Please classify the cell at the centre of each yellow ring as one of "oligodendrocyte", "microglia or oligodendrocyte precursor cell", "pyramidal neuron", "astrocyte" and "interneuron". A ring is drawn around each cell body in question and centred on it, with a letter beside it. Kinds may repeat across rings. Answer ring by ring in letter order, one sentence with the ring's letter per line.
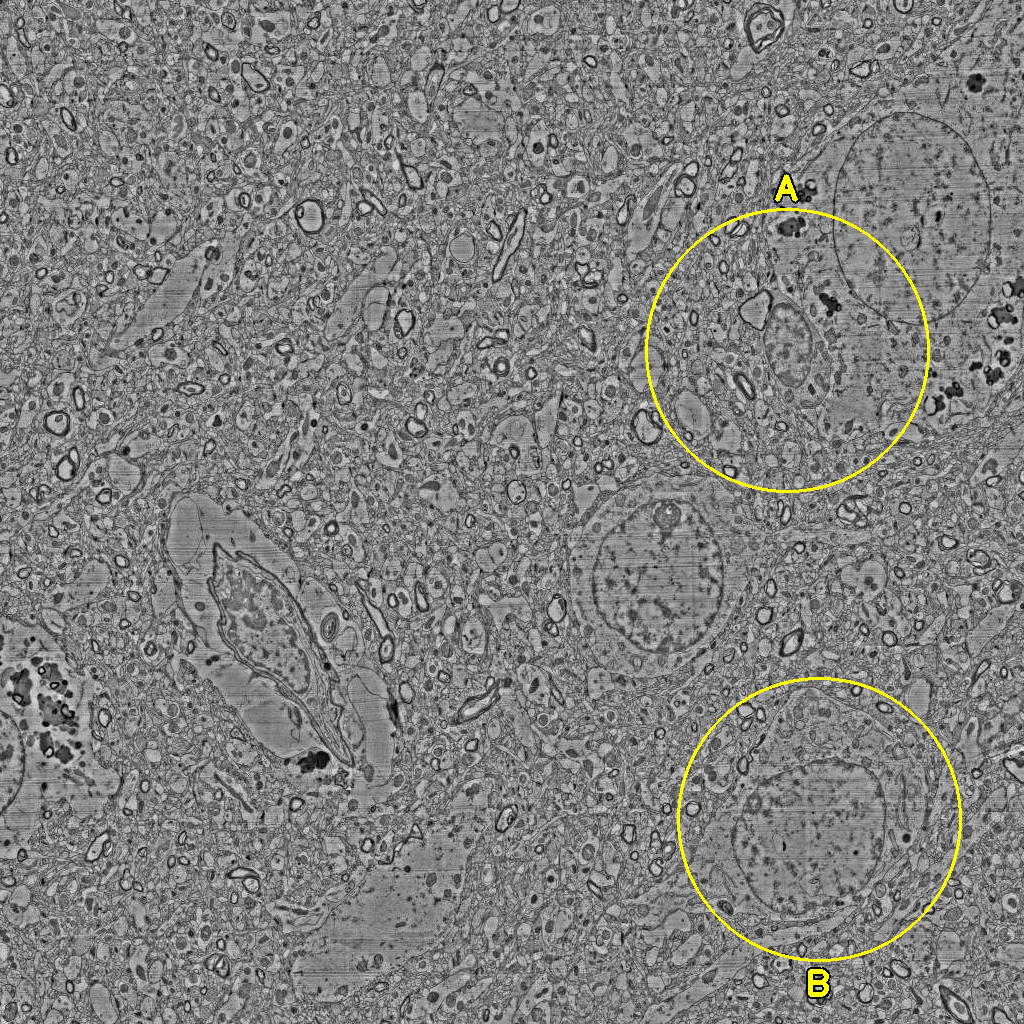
The cell at the heart of ring A is an oligodendrocyte.
The cell at the heart of ring B is an interneuron.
